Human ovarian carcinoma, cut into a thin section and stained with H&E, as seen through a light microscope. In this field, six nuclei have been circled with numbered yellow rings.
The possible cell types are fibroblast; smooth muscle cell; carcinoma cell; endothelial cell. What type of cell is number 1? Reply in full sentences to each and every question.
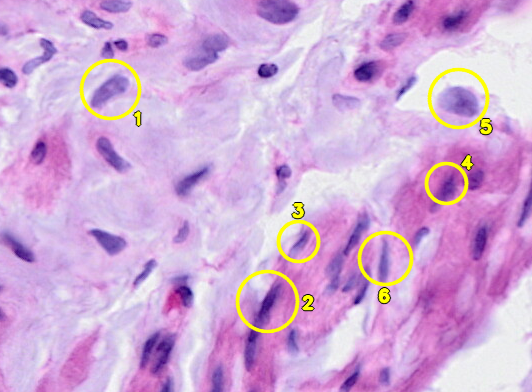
Cell 1, among those numbered, is a fibroblast.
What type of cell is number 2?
The marked nucleus 2 is that of a smooth muscle cell.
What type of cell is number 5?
Numbered cell 5 is an endothelial cell in this tissue section.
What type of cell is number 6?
The cell whose nucleus carries the number 6 is a smooth muscle cell.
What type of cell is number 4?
The nucleus with number 4 is that of a smooth muscle cell.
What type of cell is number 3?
The cell referenced by the number 3 is a smooth muscle cell in this field.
